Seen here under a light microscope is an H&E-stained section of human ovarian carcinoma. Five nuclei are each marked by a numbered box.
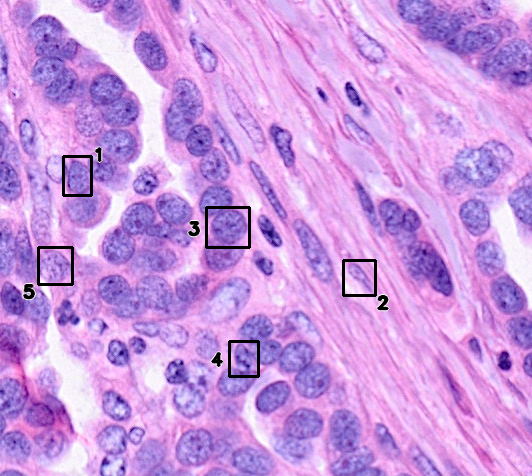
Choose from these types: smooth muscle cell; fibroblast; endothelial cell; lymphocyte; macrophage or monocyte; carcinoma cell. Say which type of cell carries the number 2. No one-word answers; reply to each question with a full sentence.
The cell indicated with the number 2 is classed as a fibroblast.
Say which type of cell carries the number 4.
The cell numbered 4 has been identified as a macrophage or monocyte.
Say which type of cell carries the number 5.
The identity of cell 5 is that of a carcinoma cell.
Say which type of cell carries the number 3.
The cell identified by the number 3 is a carcinoma cell.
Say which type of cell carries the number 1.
The cell identified by number 1 is a carcinoma cell.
